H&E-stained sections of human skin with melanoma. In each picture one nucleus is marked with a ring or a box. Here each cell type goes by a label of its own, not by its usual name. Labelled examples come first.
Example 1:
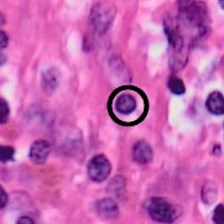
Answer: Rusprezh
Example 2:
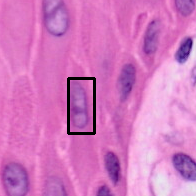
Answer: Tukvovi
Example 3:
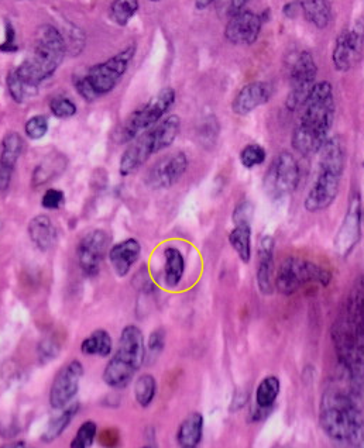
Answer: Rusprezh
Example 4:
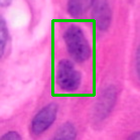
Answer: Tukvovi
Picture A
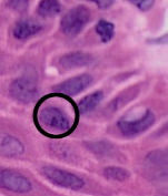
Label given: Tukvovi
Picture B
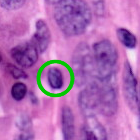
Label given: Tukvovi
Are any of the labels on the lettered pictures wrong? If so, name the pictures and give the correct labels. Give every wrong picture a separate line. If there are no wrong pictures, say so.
B should be Rusprezh, not Tukvovi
